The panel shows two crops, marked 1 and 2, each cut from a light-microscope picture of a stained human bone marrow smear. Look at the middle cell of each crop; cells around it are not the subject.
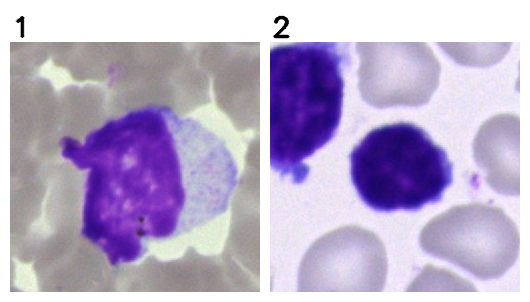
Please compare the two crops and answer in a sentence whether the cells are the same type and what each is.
No, crop 1 carries a blast at its centre, and crop 2 carries a lymphocyte.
